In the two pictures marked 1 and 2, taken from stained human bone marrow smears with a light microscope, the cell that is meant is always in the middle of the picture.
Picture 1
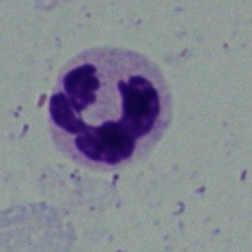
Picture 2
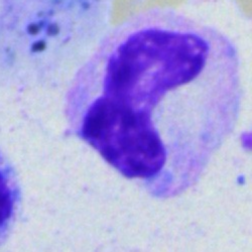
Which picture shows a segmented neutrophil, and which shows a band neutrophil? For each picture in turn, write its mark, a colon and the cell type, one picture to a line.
1: segmented neutrophil
2: band neutrophil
